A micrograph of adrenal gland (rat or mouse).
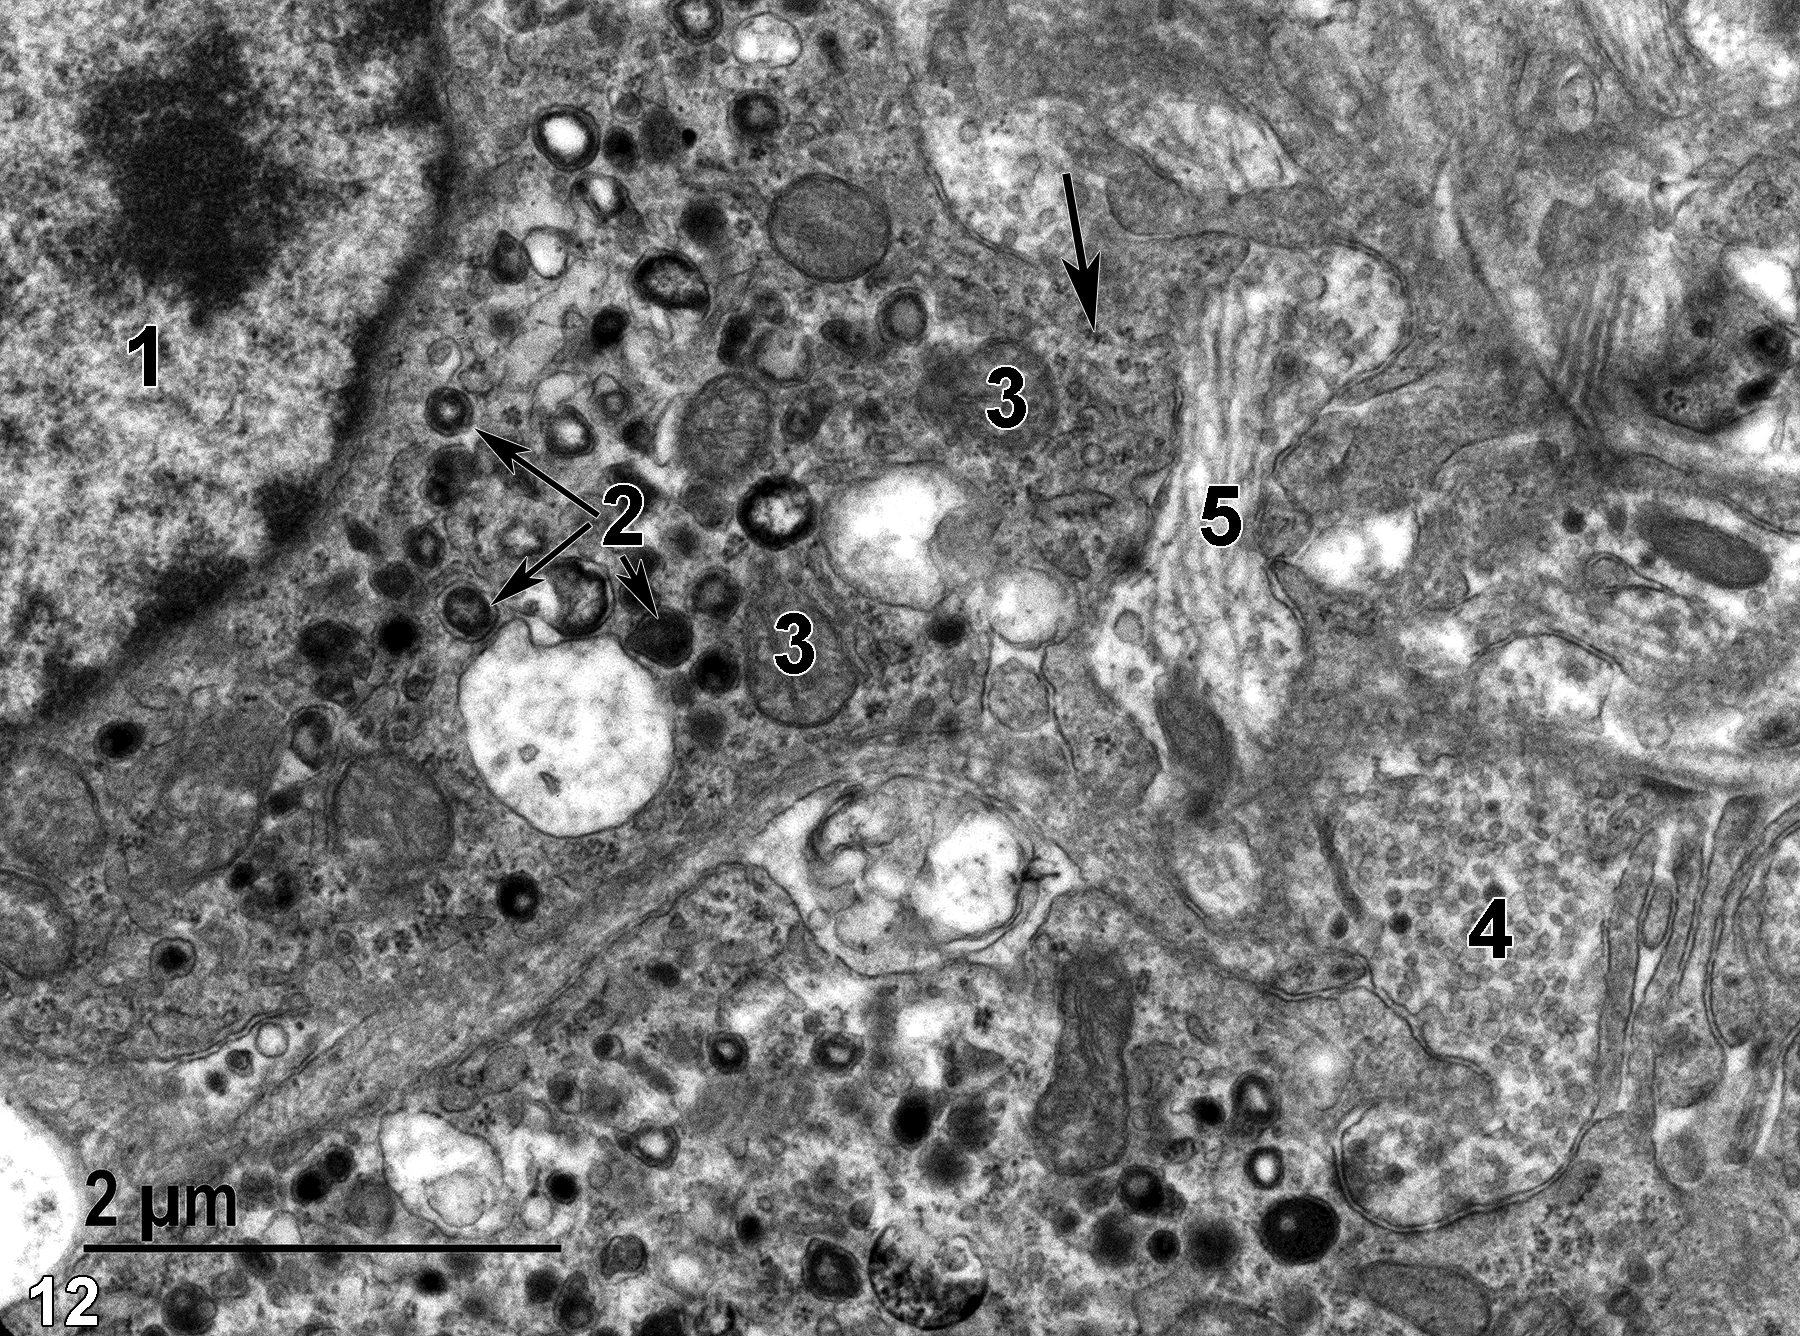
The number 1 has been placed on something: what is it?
The number 1 marks the nucleus.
